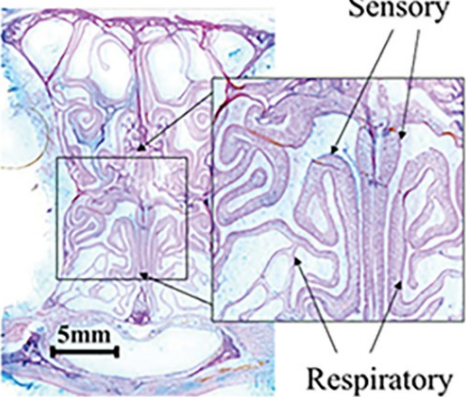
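This is a low-magnification cross-section through the nose. Thin, purple-stained epithelium lines the airway. It covers many bony, scroll-like folds that curl into the air spaces on either side of a central midline partition. An enlarged inset shows these folded plates at higher magnification; some are covered by a noticeably thicker epithelial layer than others. The air spaces between the folds are pale and empty, and a larger open passage lies below the folded region.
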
